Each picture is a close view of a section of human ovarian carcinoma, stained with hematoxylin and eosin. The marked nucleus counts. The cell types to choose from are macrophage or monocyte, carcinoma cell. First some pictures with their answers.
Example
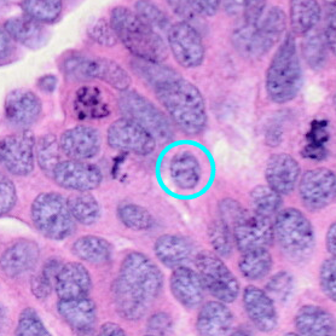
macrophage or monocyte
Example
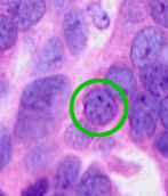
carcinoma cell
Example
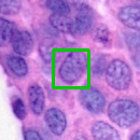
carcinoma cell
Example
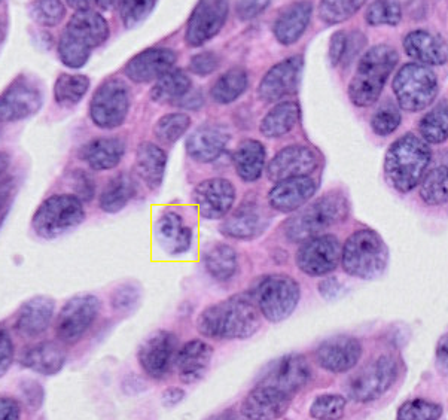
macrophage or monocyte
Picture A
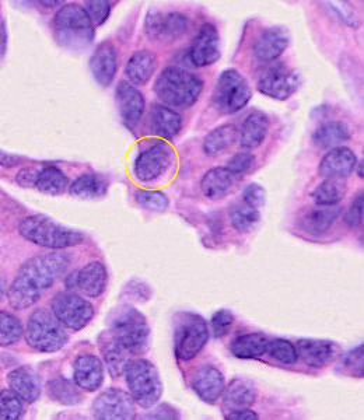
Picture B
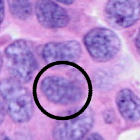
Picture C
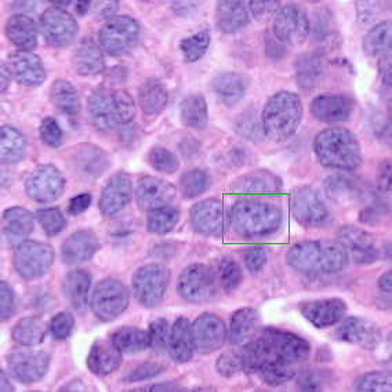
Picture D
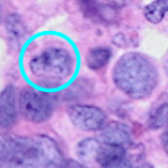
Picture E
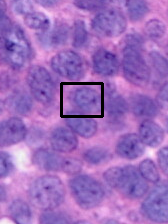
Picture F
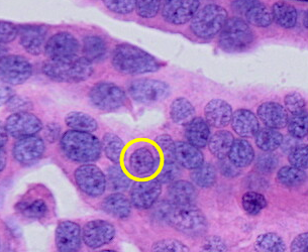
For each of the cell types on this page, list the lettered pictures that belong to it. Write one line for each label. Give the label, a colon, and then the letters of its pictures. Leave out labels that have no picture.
macrophage or monocyte: D
carcinoma cell: A, B, C, E, F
